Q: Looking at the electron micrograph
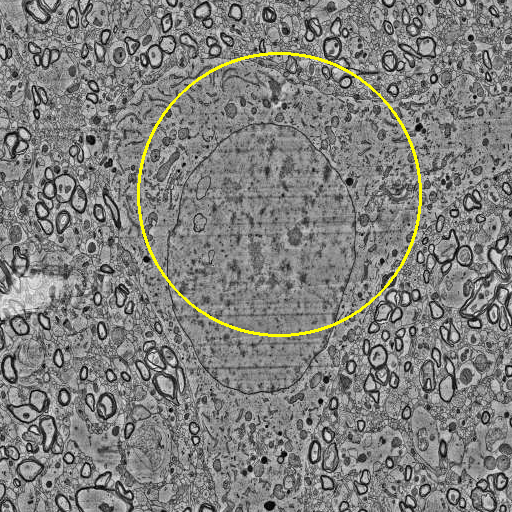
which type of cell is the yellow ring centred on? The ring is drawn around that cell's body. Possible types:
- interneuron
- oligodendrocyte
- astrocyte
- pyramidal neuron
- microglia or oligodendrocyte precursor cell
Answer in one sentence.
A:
The yellow ring is centred on a pyramidal neuron.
